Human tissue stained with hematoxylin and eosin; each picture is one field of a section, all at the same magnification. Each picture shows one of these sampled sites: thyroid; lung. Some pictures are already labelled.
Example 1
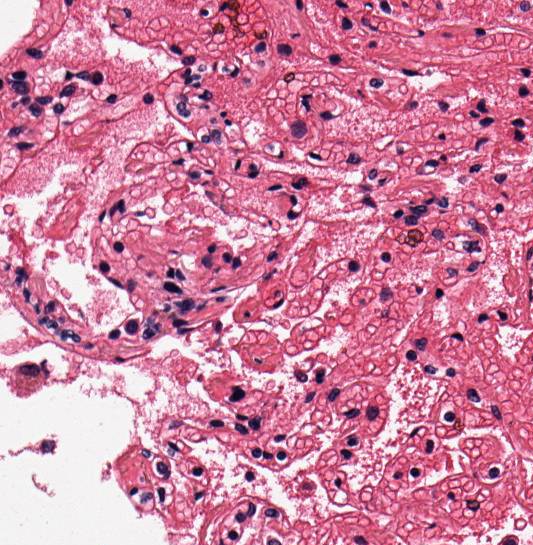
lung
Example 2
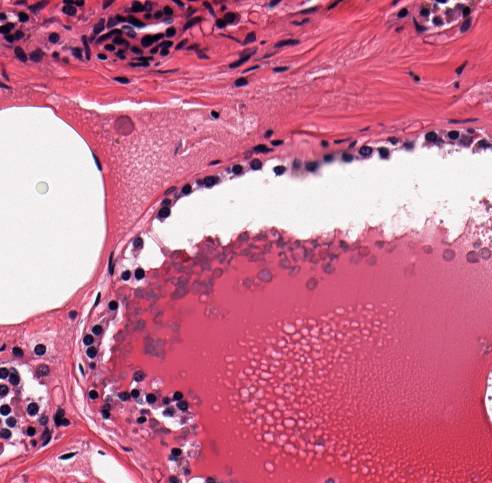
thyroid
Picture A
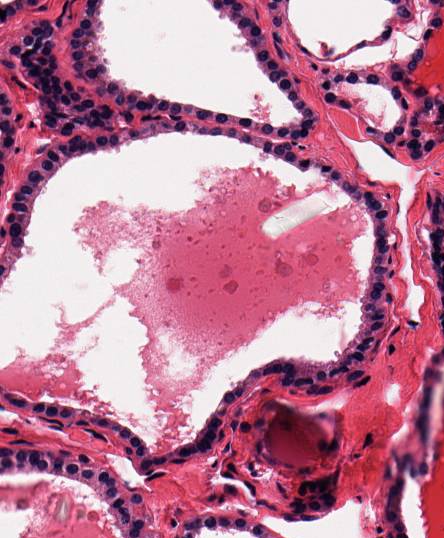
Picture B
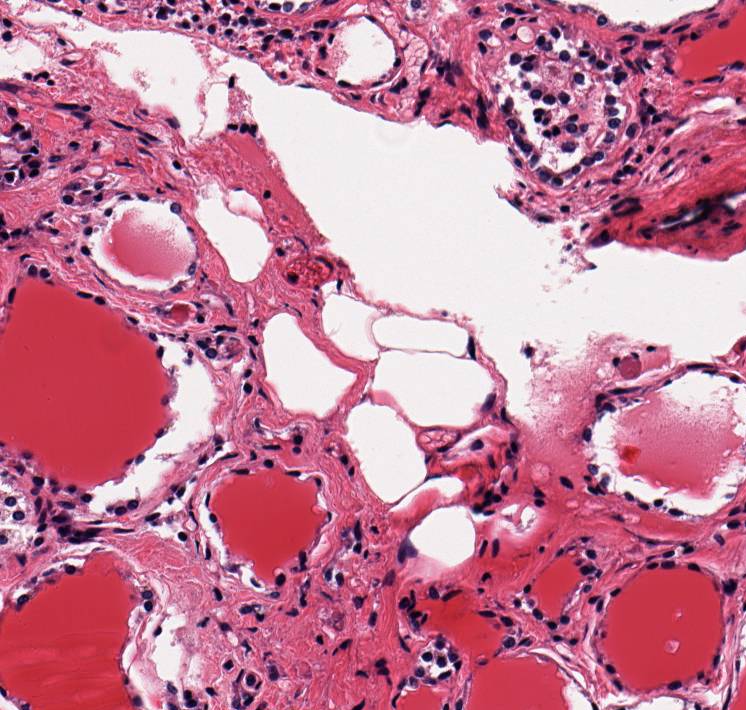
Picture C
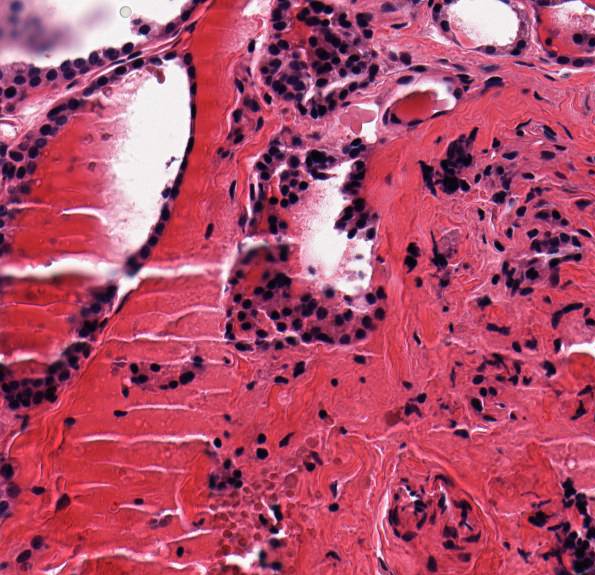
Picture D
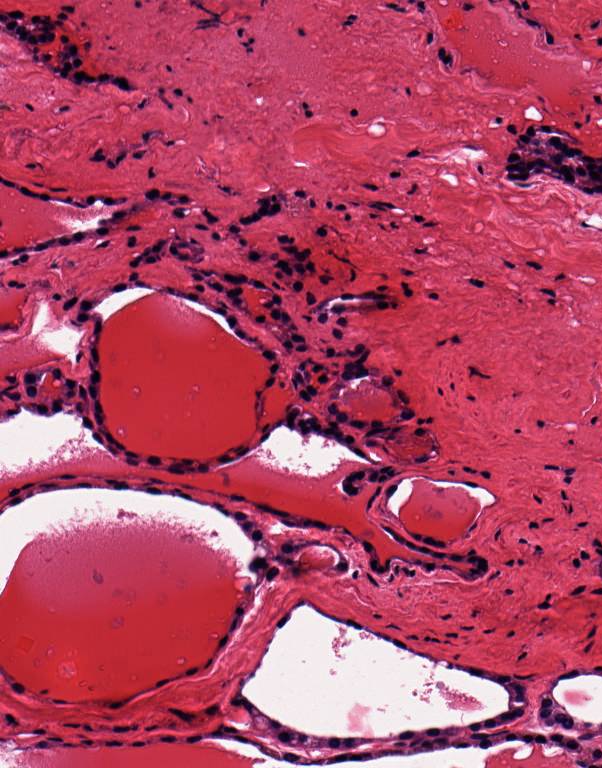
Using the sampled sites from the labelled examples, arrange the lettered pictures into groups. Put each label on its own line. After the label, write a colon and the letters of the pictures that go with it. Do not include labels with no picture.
thyroid: A, B, C, D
